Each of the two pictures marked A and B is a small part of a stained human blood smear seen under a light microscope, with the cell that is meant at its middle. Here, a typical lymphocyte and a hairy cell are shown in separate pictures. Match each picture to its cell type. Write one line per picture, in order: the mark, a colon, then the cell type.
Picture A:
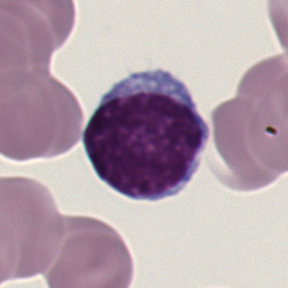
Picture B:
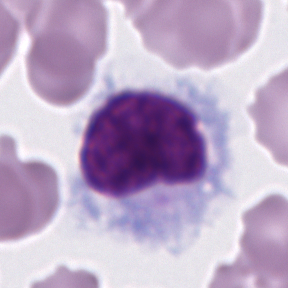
A: typical lymphocyte
B: hairy cell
